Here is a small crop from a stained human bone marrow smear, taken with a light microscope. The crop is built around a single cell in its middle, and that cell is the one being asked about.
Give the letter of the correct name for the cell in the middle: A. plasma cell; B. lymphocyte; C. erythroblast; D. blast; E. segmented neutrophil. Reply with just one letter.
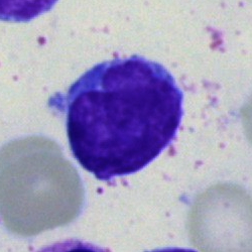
B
